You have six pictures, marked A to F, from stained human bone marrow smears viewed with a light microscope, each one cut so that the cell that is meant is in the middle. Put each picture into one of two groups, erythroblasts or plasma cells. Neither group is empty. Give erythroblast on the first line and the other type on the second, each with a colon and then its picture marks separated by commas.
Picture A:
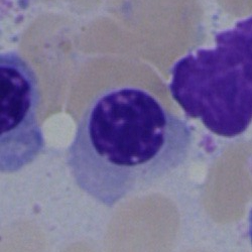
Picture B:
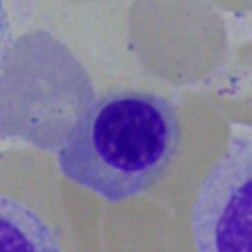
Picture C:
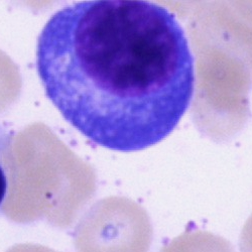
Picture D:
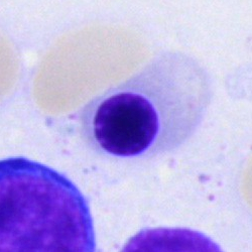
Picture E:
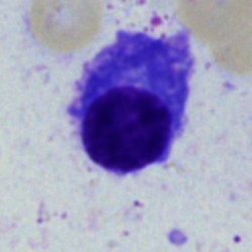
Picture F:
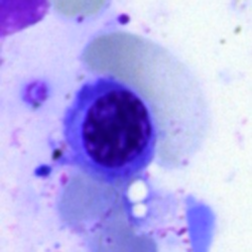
erythroblast: A, B, D, F
plasma cell: C, E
